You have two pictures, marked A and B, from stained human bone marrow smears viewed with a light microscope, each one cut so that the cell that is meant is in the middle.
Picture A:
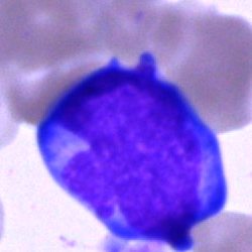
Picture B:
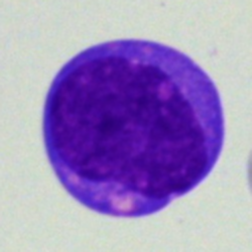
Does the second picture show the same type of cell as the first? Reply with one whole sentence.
Yes, both are blasts.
